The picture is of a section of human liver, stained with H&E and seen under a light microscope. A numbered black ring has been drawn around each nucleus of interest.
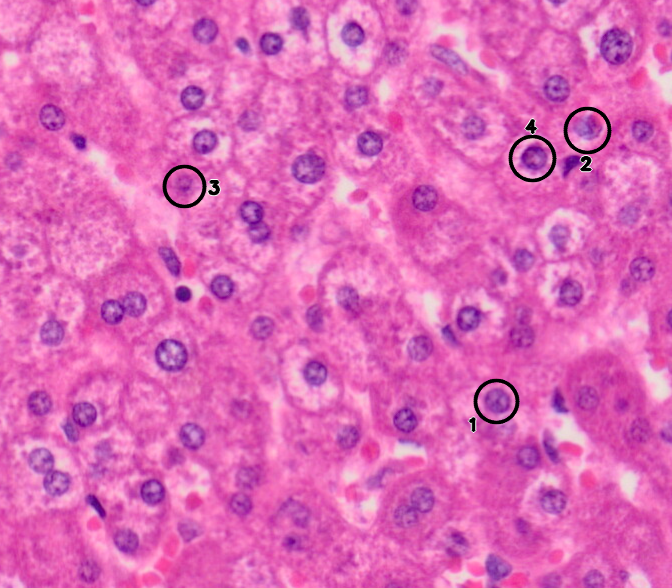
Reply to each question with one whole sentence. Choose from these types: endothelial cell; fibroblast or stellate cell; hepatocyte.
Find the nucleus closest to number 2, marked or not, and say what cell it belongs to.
The nucleus nearest to number 2 is that of a fibroblast or stellate cell.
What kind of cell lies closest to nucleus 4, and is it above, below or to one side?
It is a fibroblast or stellate cell, whose nucleus lies to the right of nucleus 4.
